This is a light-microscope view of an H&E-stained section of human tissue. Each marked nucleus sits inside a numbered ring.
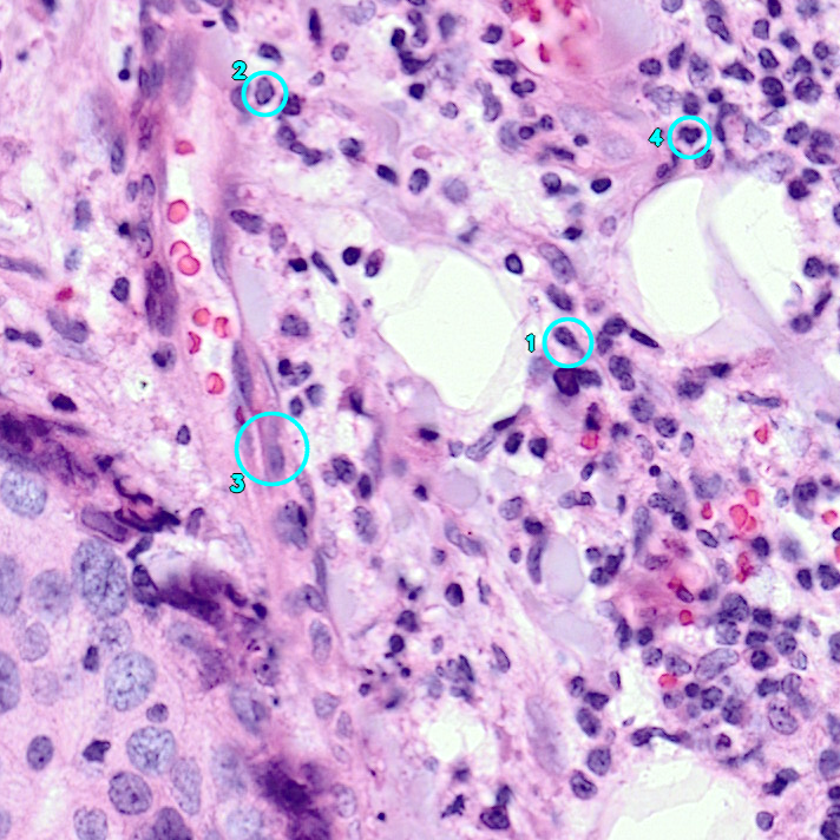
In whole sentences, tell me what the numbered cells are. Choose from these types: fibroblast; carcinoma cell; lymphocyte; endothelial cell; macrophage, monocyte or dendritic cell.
Cell 1 is a lymphocyte, cell 2 is a lymphocyte, cell 3 is an endothelial cell and cell 4 is a lymphocyte.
